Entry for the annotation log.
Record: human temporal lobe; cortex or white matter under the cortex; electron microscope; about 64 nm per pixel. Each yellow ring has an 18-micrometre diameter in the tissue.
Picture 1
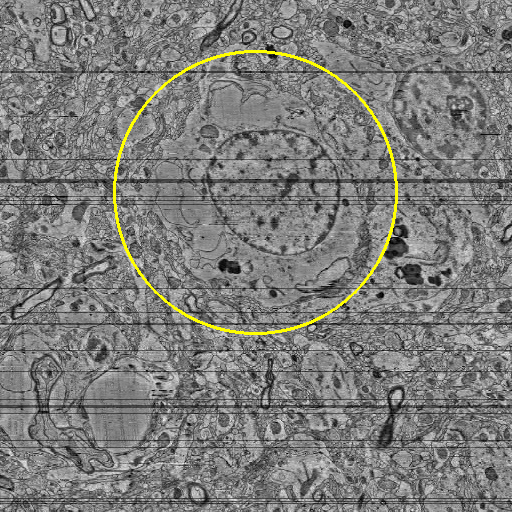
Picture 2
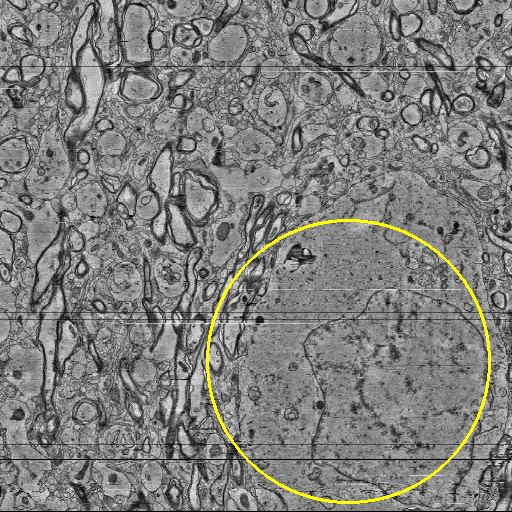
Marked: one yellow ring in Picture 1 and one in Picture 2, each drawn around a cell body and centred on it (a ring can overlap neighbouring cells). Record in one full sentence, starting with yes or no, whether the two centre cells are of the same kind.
No, the two cells are of two kinds.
